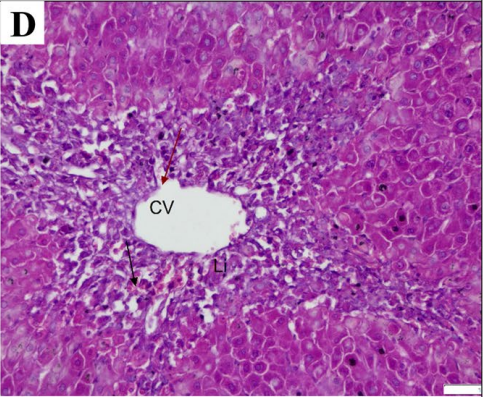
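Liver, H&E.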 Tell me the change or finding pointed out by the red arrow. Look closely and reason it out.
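Detachment of endothelial lining. The red arrow points to the wall of a large empty vessel. The vessel's inner lining is not a continuous smooth layer.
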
